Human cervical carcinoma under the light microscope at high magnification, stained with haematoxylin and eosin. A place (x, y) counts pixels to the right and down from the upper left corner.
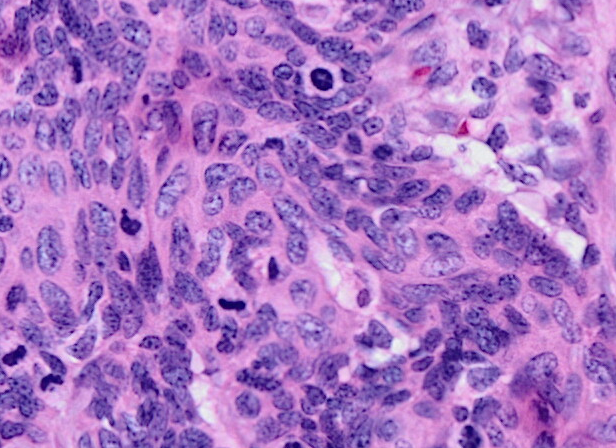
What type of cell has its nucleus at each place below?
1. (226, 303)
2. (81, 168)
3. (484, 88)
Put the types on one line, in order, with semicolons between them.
squamous carcinoma cell; squamous carcinoma cell; lymphocyte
